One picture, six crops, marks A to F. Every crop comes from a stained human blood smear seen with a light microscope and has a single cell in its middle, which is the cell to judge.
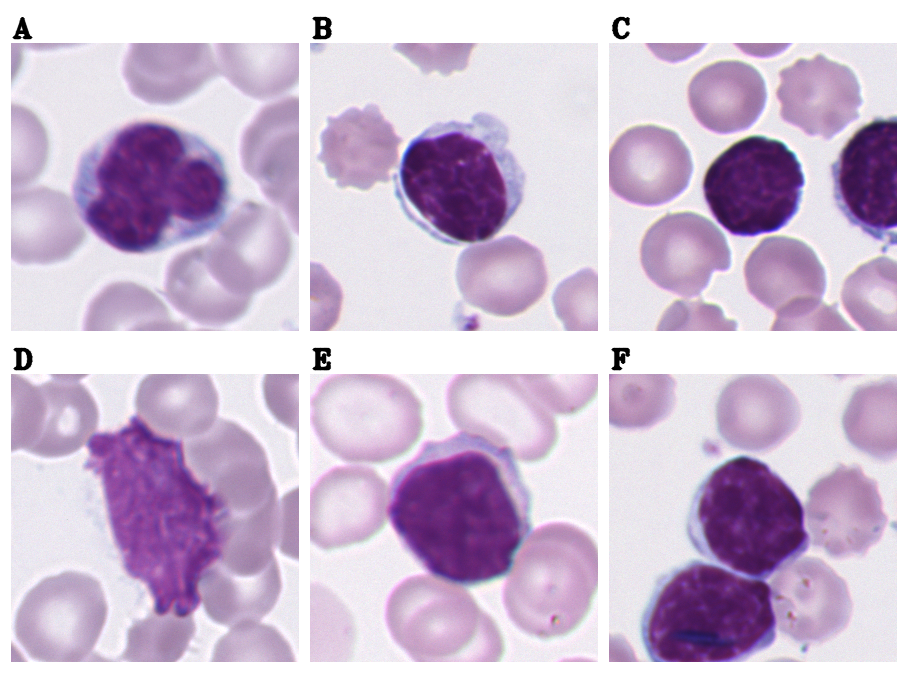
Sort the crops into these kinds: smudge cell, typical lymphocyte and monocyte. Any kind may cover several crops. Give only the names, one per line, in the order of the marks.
typical lymphocyte
typical lymphocyte
typical lymphocyte
smudge cell
typical lymphocyte
typical lymphocyte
